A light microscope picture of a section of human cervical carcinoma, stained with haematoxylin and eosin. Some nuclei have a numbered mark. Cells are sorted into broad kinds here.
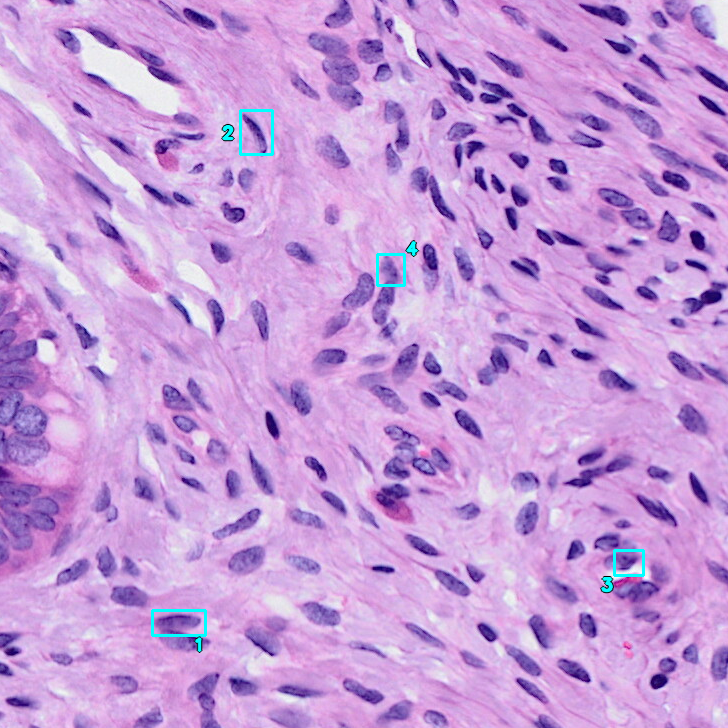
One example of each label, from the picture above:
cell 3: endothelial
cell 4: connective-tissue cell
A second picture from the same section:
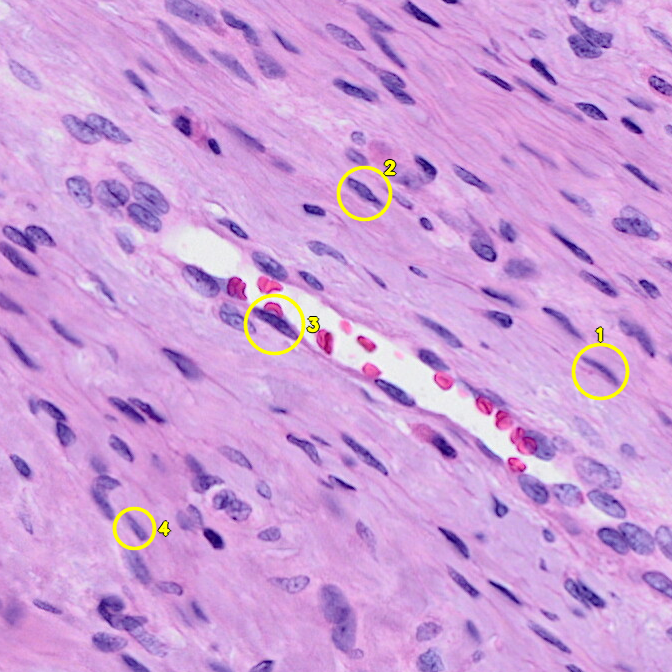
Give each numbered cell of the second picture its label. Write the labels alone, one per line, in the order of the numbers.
connective-tissue cell
connective-tissue cell
endothelial
connective-tissue cell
